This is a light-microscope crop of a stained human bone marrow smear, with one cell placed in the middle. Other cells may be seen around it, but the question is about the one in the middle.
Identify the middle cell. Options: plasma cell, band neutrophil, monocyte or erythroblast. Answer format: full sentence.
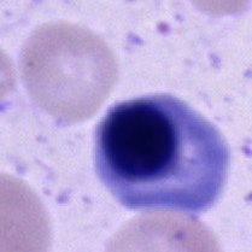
Framed in the middle of the crop is an erythroblast.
